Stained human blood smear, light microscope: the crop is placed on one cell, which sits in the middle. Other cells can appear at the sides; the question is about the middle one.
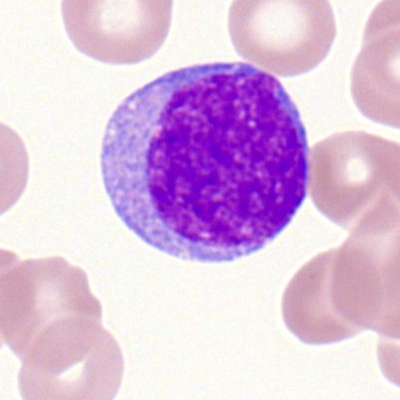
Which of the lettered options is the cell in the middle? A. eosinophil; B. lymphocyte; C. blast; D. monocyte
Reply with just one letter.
C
